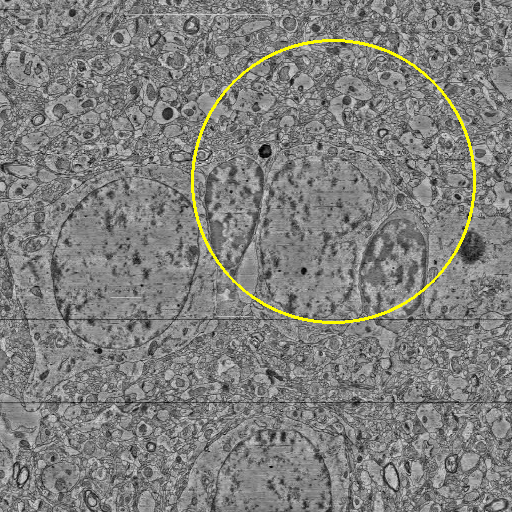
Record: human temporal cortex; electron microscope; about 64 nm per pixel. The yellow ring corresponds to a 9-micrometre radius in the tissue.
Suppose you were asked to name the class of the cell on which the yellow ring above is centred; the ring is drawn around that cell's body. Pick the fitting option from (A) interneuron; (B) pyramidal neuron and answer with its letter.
A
